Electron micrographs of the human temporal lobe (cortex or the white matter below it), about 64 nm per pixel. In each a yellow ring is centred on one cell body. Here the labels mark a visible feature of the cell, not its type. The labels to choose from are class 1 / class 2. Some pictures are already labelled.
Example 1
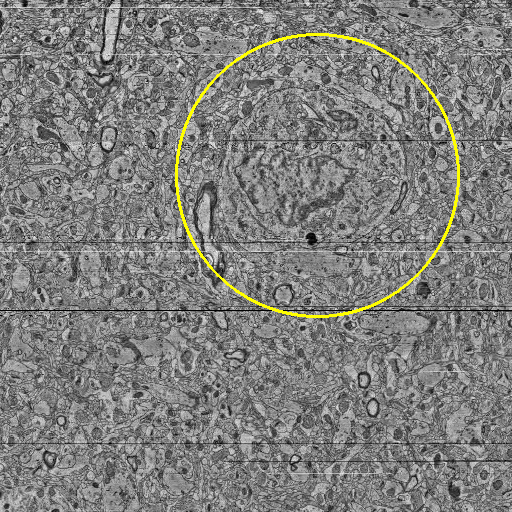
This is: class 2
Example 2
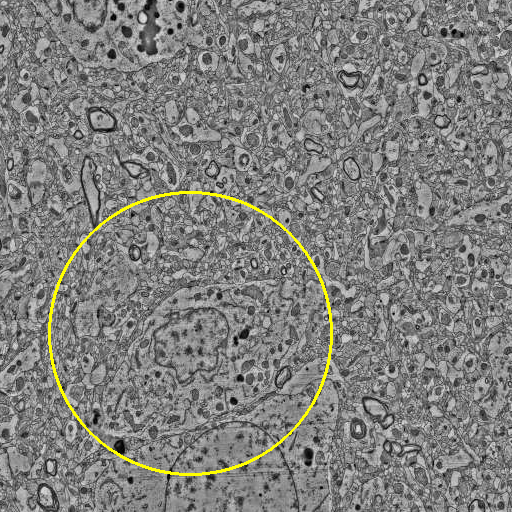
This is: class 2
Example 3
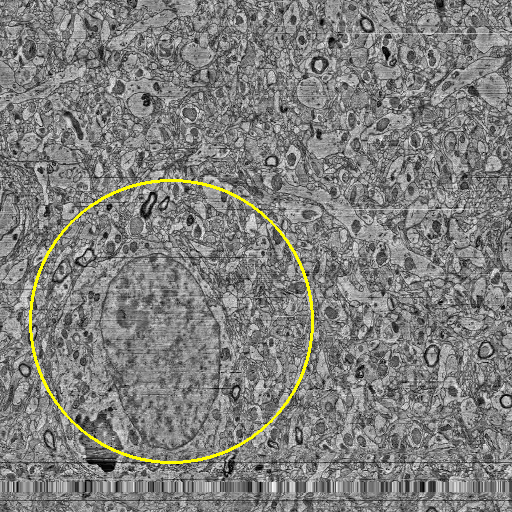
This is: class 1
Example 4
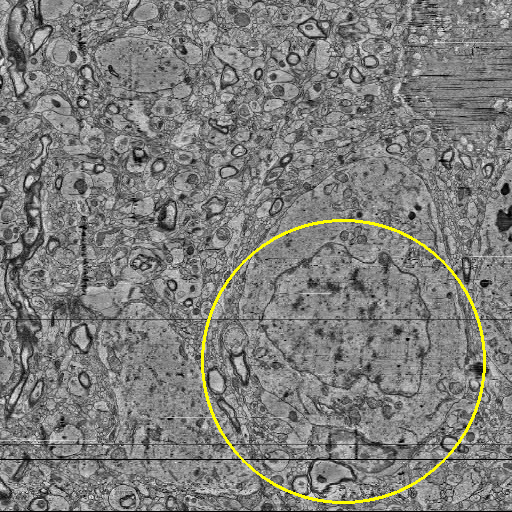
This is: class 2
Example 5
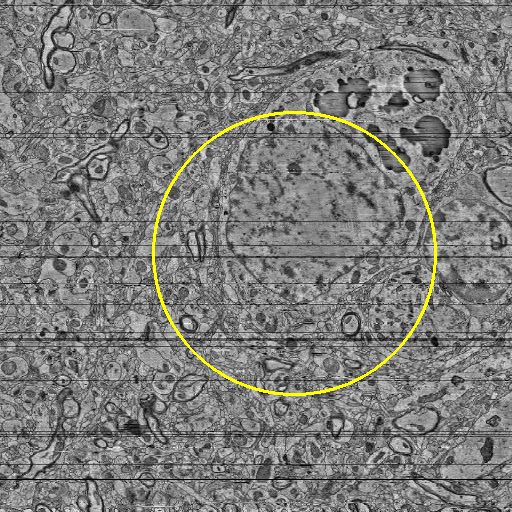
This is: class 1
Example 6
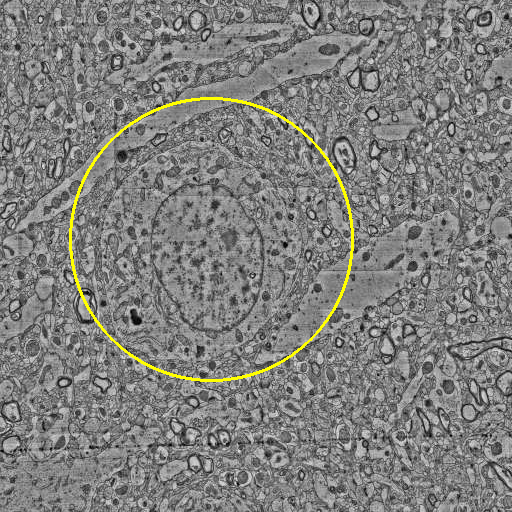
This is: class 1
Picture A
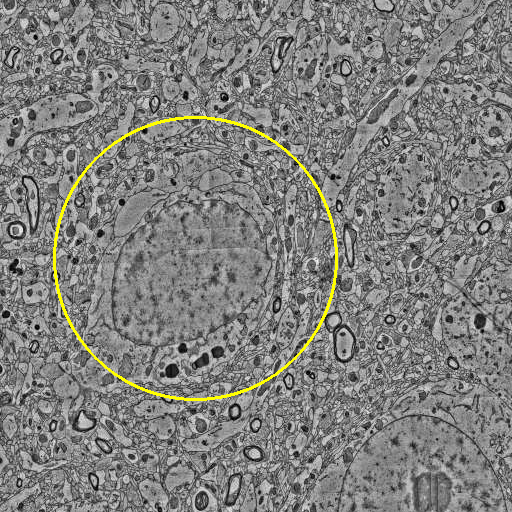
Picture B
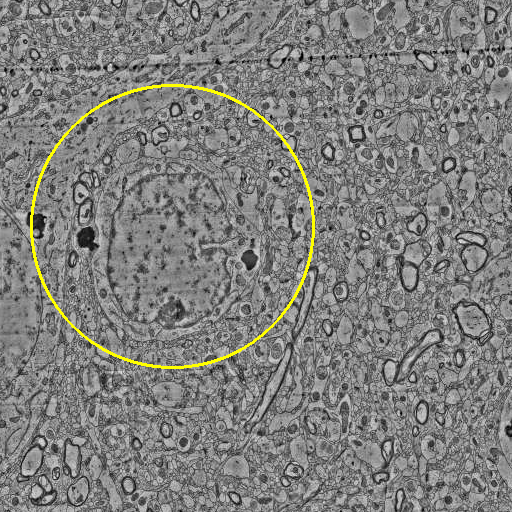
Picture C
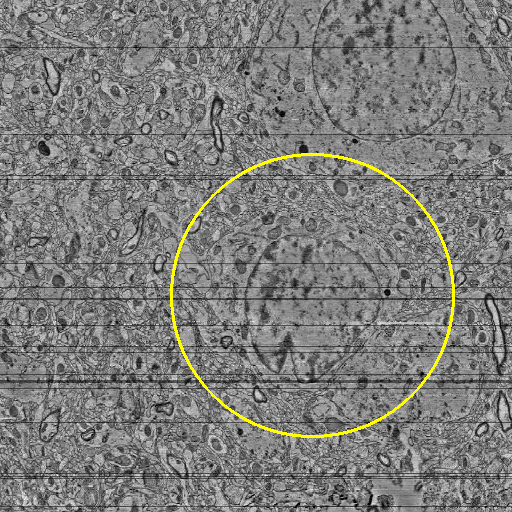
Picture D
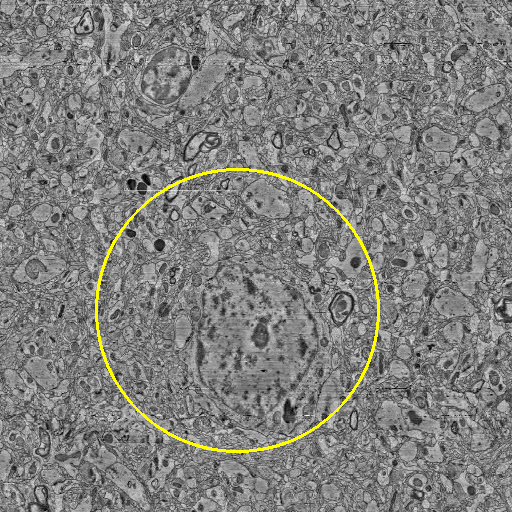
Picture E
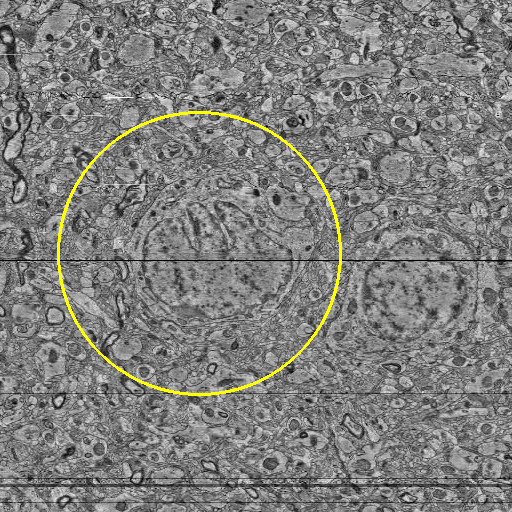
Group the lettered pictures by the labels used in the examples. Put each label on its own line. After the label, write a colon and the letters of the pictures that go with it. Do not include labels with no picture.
class 1: A, D
class 2: B, C, E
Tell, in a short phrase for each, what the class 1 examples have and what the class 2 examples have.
class 1: smooth nuclear envelopes without deep folds; class 2: deeply folded or indented nuclear envelopes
